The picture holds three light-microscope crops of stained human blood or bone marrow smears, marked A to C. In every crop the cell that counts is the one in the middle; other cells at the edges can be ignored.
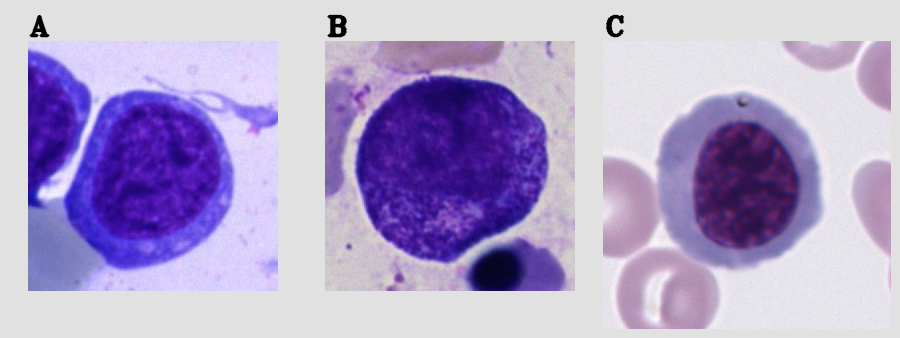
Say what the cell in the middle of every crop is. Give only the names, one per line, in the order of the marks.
blast
promyelocyte
erythroblast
